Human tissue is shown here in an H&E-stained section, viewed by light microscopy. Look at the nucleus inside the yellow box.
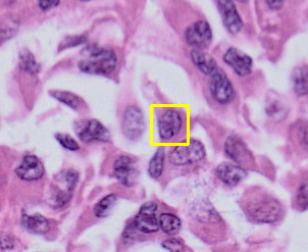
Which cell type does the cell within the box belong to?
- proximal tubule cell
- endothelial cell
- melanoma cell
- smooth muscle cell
melanoma cell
